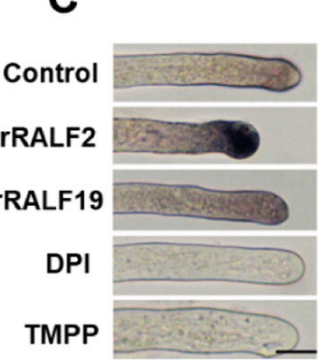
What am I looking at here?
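These are five elongated pollen tubes stacked one above another, each a long cylinder with granular cytoplasm and a rounded, dome-shaped tip at the right. In one tube a dense dark blue-black deposit fills the tip region, while the other tubes are pale, with only faint or no darkening at their tips.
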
